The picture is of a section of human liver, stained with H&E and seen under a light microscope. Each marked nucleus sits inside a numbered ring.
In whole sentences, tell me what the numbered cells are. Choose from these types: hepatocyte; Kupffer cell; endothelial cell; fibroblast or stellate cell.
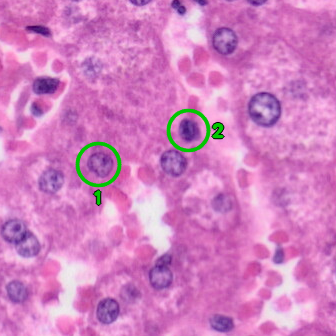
Cell 1 is a hepatocyte and cell 2 is a fibroblast or stellate cell.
